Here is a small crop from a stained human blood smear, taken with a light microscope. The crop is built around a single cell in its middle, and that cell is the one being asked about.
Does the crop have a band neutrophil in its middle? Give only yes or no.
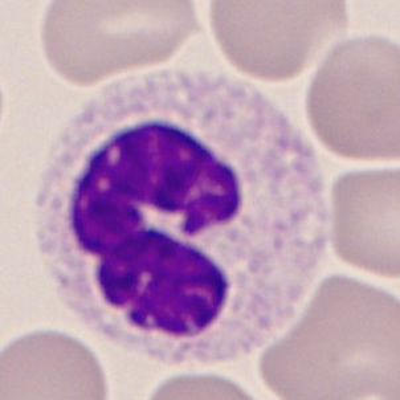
yes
